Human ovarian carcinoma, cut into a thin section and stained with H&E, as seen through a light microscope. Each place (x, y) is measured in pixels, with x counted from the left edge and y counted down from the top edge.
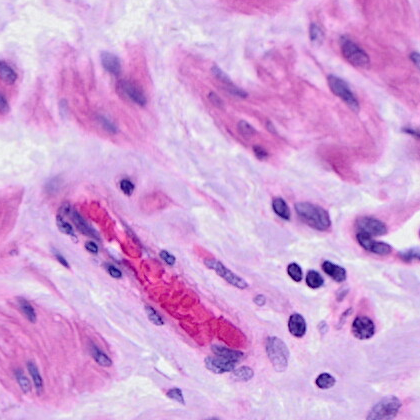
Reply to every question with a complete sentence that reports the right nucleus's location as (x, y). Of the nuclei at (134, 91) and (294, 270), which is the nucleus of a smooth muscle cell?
The nucleus located at (134, 91) is the one held within a smooth muscle cell.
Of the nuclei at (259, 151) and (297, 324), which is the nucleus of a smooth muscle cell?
The nucleus located at (259, 151) is the one held within a smooth muscle cell.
